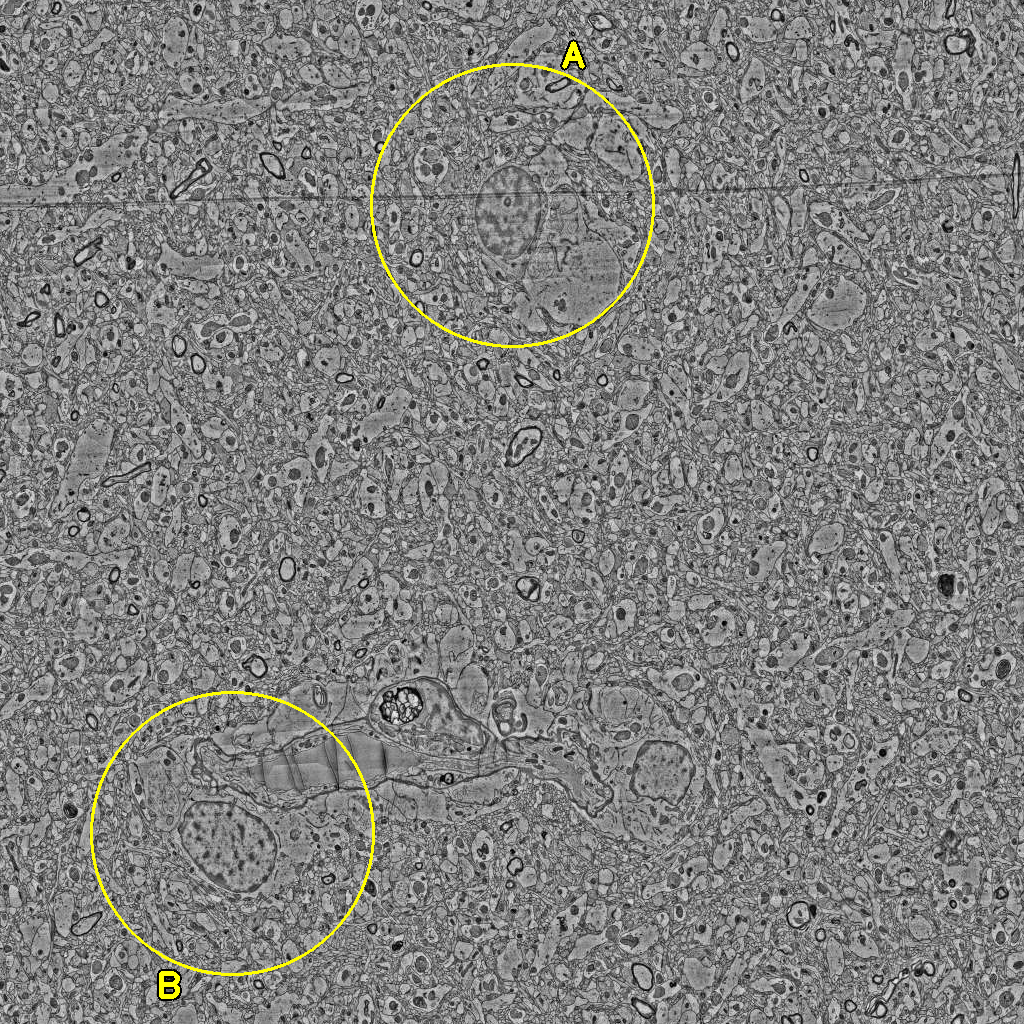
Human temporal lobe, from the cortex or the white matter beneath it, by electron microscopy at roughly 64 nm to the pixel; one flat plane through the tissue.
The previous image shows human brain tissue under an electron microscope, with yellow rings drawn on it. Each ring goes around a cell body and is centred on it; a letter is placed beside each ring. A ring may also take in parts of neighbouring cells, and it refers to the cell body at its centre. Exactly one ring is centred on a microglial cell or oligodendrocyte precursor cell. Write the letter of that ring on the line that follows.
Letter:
B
